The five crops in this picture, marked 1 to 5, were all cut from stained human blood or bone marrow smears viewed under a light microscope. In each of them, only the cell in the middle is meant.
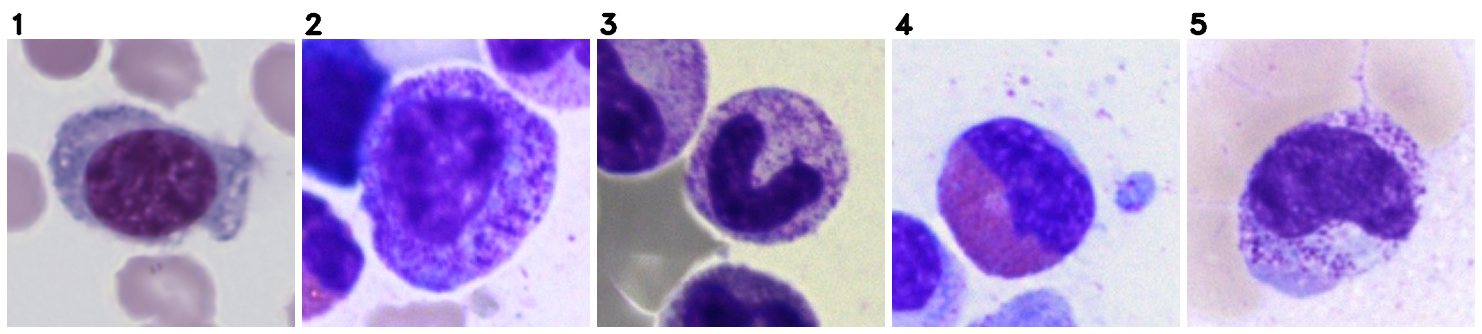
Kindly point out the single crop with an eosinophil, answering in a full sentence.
In this set, crop 4 is the one showing an eosinophil.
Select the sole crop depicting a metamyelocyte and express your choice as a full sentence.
Crop 5 is identified as the crop showing a metamyelocyte.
